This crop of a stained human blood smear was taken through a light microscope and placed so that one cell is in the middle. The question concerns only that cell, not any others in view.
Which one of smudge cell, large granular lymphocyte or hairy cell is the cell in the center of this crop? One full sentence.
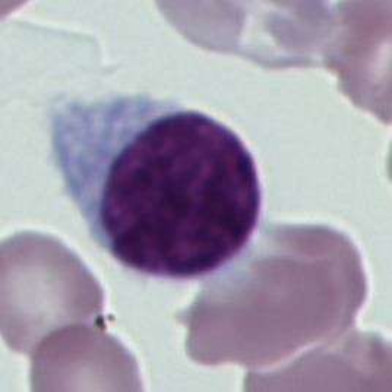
The centrally placed cell is classified as a hairy cell.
